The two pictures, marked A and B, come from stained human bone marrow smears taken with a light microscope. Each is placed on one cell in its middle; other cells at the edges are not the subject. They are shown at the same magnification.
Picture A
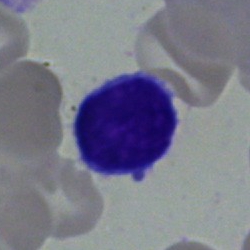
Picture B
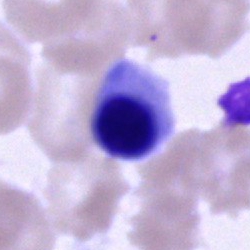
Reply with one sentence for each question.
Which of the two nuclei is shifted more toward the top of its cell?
It is the nucleus in picture A that lies further toward the top of its cell.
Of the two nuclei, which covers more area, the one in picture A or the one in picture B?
Picture A shows the larger nucleus; it covers about 3 times the area of the nucleus in picture B.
